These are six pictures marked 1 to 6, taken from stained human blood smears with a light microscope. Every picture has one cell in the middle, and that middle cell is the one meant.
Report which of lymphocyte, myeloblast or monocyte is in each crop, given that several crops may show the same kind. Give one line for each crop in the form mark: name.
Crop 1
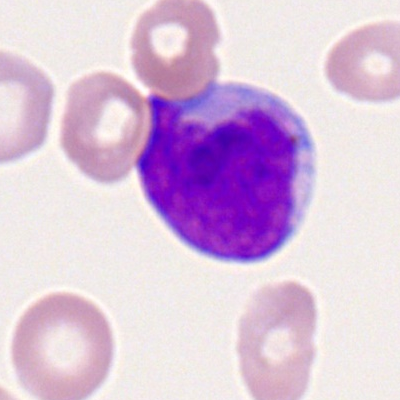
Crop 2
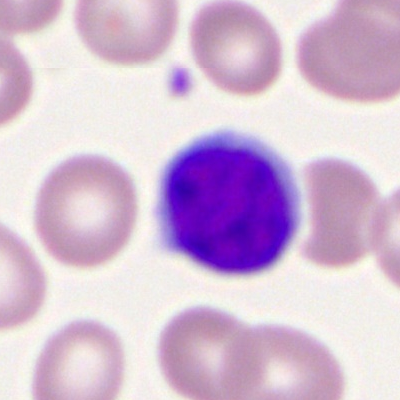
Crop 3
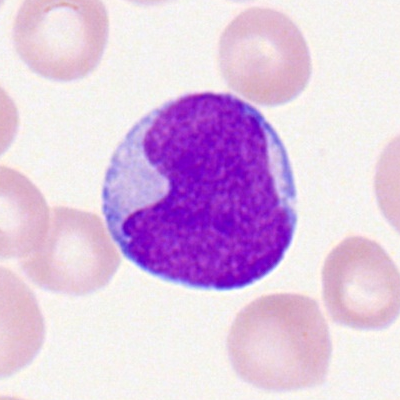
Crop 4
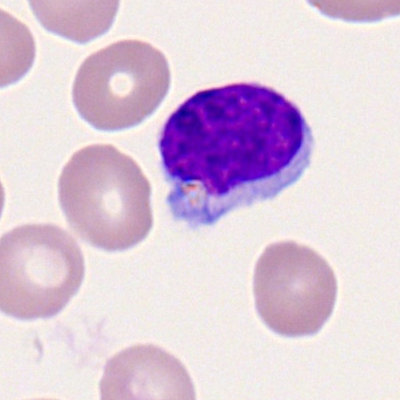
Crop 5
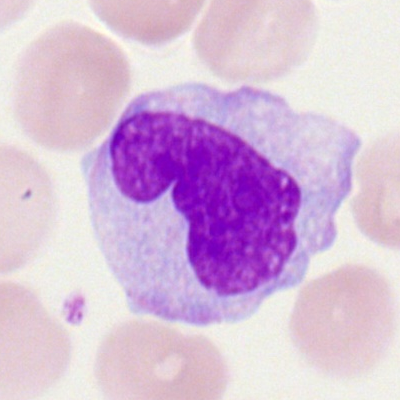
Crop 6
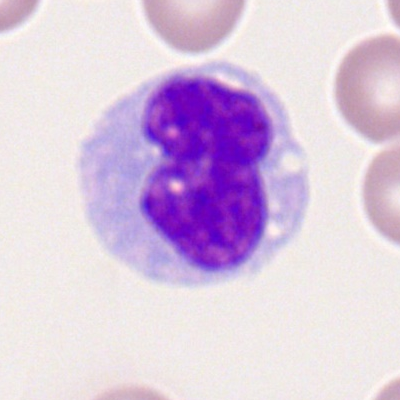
1: myeloblast
2: lymphocyte
3: myeloblast
4: lymphocyte
5: monocyte
6: monocyte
